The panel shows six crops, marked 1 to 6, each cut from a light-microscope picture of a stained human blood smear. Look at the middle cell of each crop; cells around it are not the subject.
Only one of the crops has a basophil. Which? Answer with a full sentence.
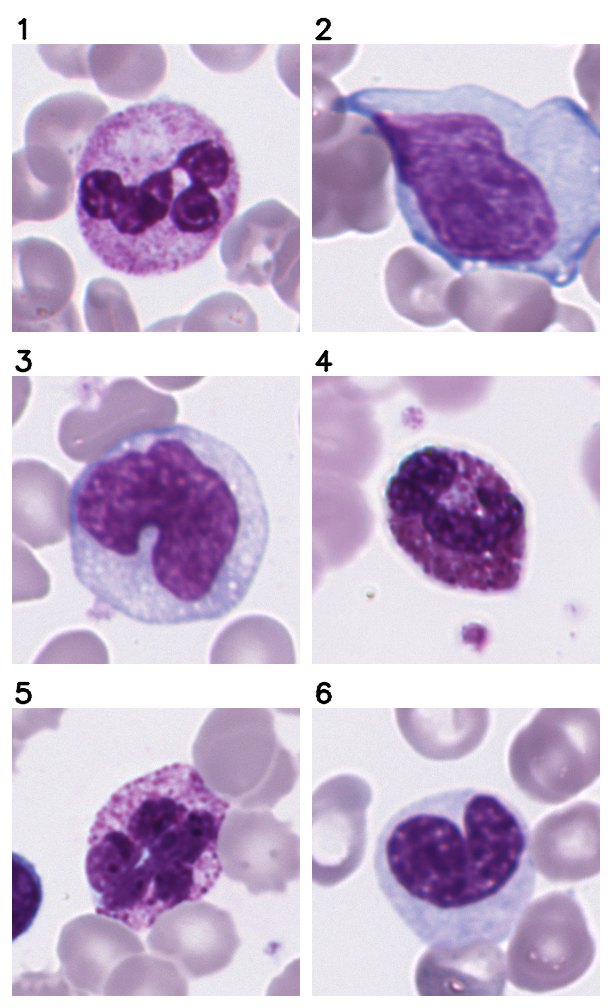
Among these crops, crop 5 holds a basophil.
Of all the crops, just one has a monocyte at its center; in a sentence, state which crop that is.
It is crop 3 that shows a monocyte.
